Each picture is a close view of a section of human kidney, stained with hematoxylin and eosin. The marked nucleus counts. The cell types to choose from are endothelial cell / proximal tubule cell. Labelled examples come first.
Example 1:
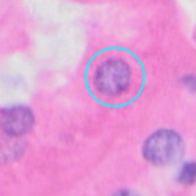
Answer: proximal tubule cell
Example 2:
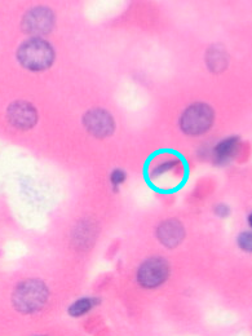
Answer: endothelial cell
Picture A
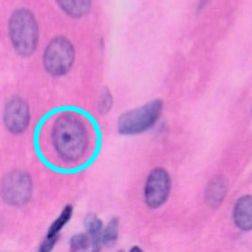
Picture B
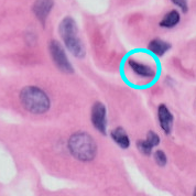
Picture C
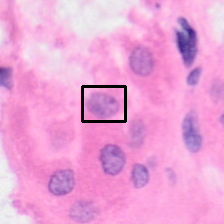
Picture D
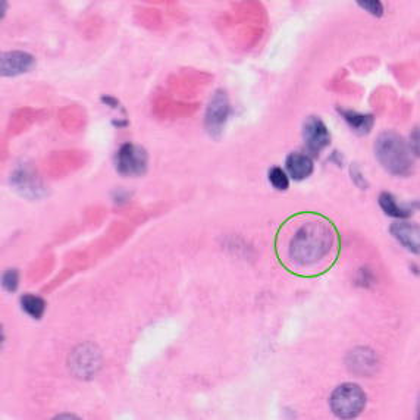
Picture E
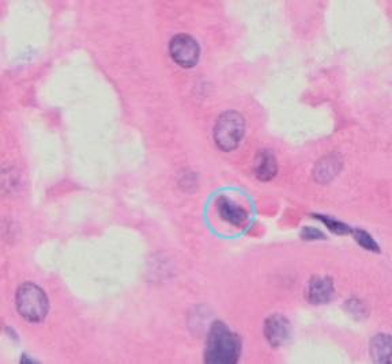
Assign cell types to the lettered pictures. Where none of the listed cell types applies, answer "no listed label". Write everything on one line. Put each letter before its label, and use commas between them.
A proximal tubule cell, B endothelial cell, C proximal tubule cell, D proximal tubule cell, E endothelial cell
